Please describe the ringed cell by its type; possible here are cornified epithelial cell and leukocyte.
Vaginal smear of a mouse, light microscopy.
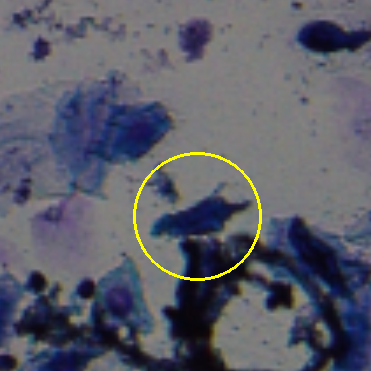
The yellow ring marks a cornified epithelial cell.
